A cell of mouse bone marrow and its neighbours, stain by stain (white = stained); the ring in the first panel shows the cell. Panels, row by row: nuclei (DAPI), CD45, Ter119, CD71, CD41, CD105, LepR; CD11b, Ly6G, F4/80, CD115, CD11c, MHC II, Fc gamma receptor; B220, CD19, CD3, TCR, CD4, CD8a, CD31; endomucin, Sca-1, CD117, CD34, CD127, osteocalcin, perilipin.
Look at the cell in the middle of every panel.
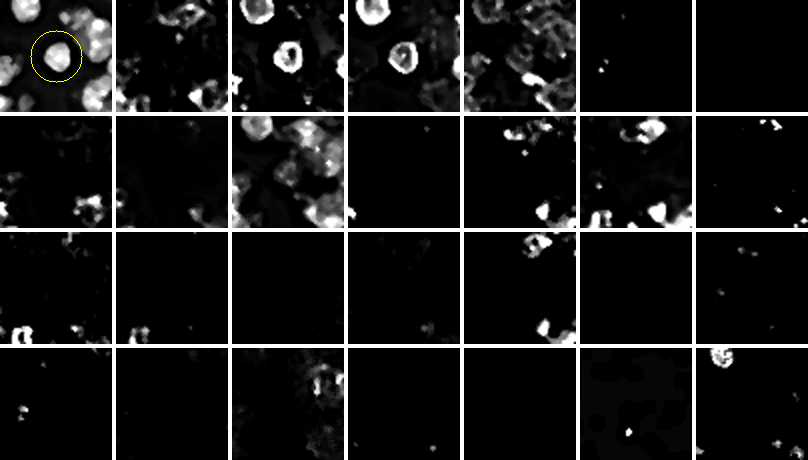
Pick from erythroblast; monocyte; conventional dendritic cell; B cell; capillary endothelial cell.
erythroblast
